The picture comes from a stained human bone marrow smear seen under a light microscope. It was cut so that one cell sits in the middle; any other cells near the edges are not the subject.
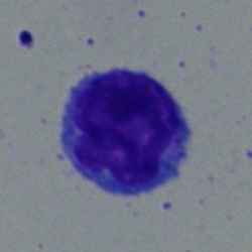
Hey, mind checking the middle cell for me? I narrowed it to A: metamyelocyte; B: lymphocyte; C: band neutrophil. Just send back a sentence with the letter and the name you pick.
The centered cell is a lymphocyte, which is why option B is right.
